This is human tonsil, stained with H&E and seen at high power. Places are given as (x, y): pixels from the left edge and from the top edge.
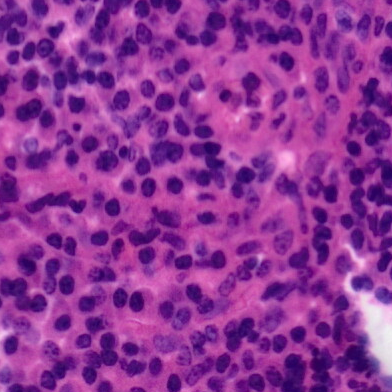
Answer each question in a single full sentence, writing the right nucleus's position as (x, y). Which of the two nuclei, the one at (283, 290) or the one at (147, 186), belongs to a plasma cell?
Of the two nuclei, that at (147, 186) is the nucleus of a plasma cell.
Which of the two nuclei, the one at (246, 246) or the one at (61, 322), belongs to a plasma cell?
The nucleus positioned at (61, 322) is the one that belongs to a plasma cell.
